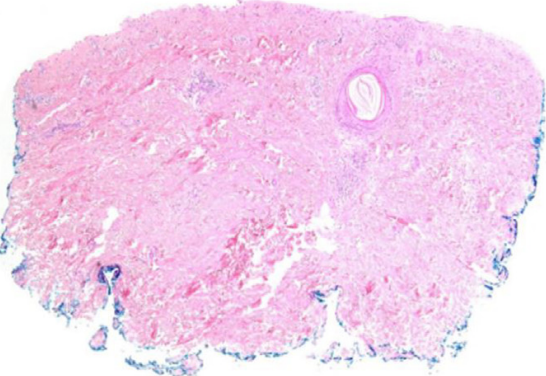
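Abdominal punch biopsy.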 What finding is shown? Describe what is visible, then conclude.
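Pink collagenous tissue with no epidermis on its surface. A hair follicle or duct cross-section lies within the collagen.
Hence: Denuded dermis.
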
